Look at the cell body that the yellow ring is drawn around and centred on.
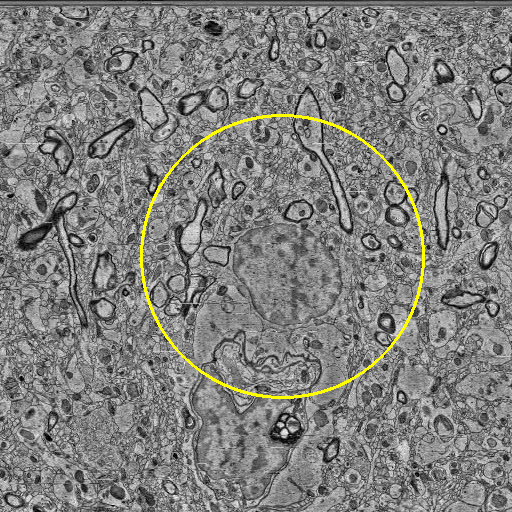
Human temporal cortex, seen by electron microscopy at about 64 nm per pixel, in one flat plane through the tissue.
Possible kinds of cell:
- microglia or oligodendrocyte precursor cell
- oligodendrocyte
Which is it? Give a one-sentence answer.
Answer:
The centred cell body is that of an oligodendrocyte.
